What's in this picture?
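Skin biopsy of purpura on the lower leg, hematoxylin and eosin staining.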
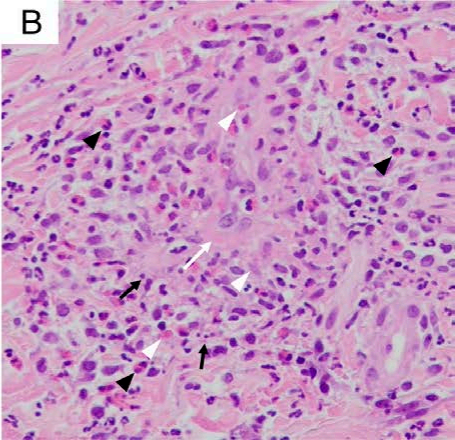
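This is dermis with a dense, mixed inflammatory infiltrate crowding the connective tissue between pink collagen bundles. Among the inflammatory cells are eosinophils with bright pink-red granular cytoplasm and lobed nuclei. Small, dark fragments of nuclear debris and bright pink red blood cells without nuclei lie free in the tissue outside the vessels. At the centre is smudgy, glassy pink material that has the look of fibrinoid necrosis.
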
